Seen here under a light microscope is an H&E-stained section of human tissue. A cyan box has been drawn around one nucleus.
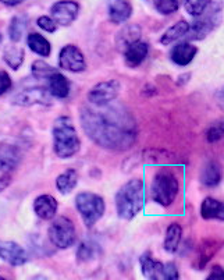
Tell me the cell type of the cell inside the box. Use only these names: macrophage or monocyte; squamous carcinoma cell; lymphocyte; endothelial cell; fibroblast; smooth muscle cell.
lymphocyte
